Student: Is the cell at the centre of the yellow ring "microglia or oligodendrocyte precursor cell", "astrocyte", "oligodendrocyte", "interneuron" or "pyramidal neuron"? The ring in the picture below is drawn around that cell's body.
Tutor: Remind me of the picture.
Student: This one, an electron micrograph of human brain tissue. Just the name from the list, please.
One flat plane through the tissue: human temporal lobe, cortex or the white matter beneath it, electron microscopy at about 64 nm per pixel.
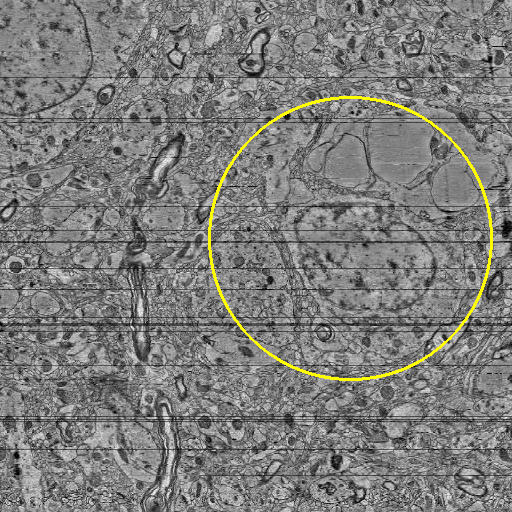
interneuron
